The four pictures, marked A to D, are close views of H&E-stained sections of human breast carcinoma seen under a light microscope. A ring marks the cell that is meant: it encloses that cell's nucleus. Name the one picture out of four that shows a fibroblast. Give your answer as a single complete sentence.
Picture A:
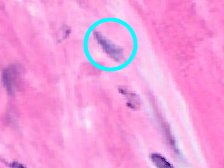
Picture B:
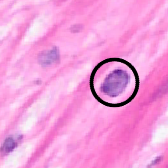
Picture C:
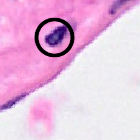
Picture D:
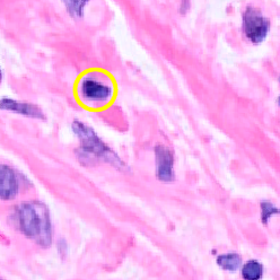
It is picture A that shows the fibroblast.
